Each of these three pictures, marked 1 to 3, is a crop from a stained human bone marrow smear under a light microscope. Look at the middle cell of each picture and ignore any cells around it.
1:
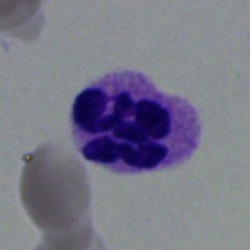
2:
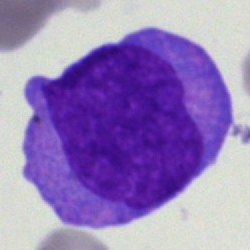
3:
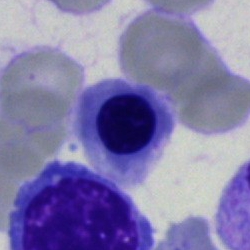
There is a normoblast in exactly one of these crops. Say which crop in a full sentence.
Of the labeled crops, the one with a normoblast is crop 3.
